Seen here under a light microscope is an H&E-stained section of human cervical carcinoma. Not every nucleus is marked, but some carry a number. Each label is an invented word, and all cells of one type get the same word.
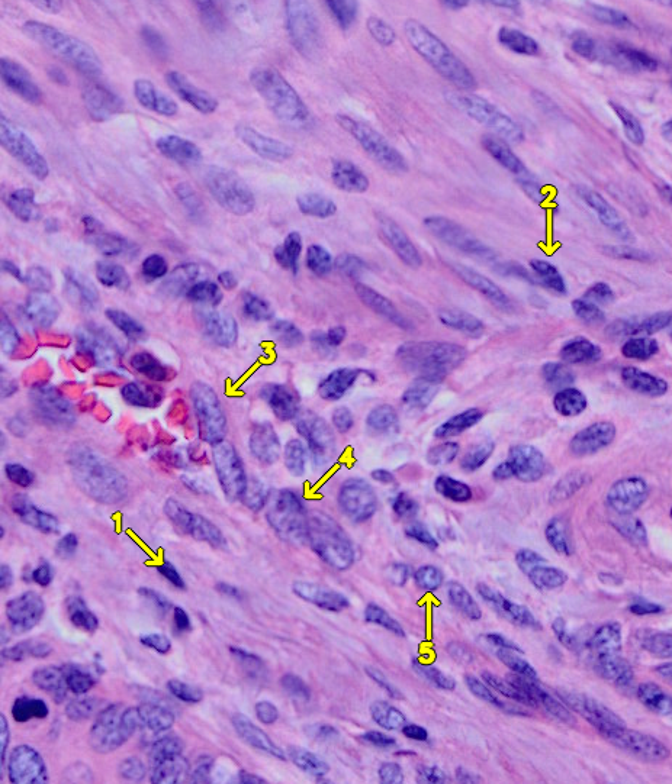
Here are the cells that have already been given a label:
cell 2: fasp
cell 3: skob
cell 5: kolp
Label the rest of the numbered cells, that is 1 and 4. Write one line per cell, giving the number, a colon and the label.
1: fasp
4: skob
